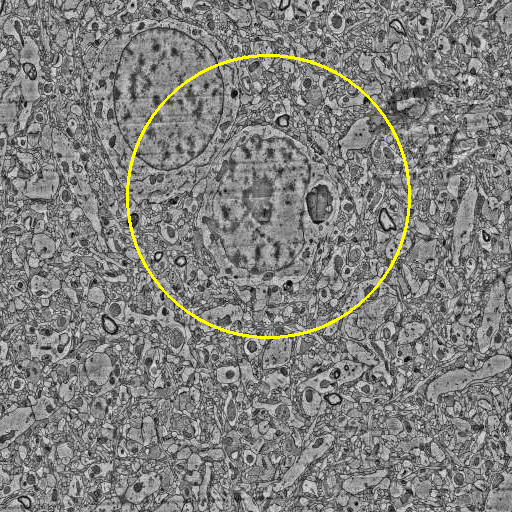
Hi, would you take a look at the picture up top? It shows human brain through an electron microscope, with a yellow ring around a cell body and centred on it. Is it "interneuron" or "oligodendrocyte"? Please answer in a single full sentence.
The best fit for the cell in the middle of the ring is an interneuron, I reckon.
